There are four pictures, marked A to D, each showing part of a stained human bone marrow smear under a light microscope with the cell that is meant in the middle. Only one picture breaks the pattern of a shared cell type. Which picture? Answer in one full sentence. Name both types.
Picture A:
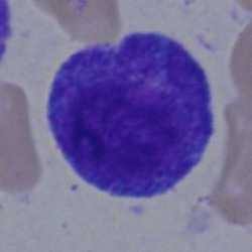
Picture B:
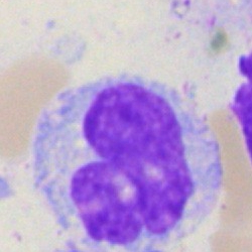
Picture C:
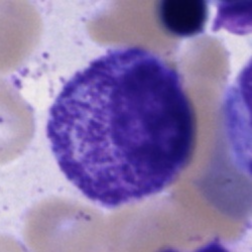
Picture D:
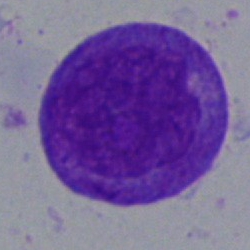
Picture B is the odd one out: it shows a monocyte, while the others show promyelocytes.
